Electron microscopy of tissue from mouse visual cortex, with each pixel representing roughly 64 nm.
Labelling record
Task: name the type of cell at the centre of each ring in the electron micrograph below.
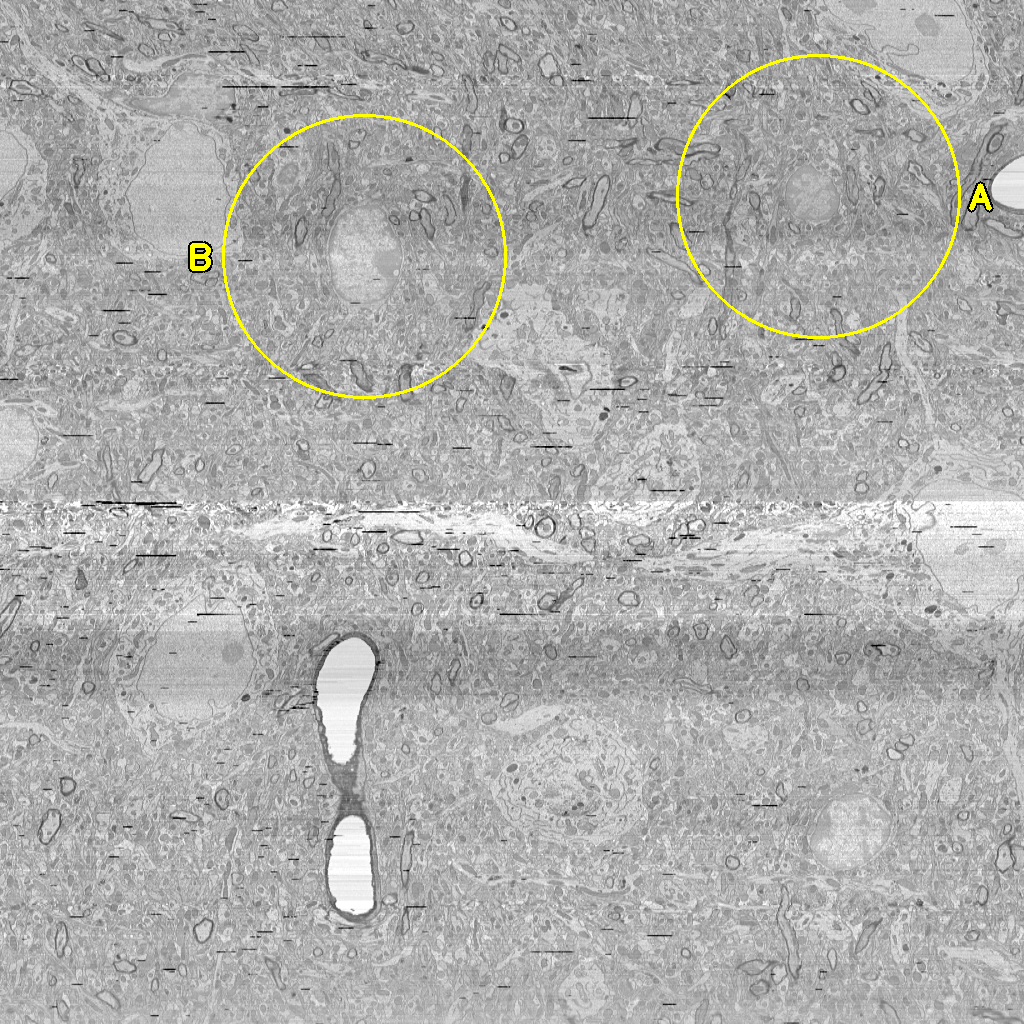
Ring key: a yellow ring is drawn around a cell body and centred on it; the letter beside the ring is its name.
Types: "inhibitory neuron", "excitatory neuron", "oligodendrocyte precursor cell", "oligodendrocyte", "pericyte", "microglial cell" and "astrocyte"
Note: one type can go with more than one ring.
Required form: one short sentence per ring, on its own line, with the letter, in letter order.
In ring A, the centred cell is a microglial cell.
In ring B, the centred cell is an oligodendrocyte.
